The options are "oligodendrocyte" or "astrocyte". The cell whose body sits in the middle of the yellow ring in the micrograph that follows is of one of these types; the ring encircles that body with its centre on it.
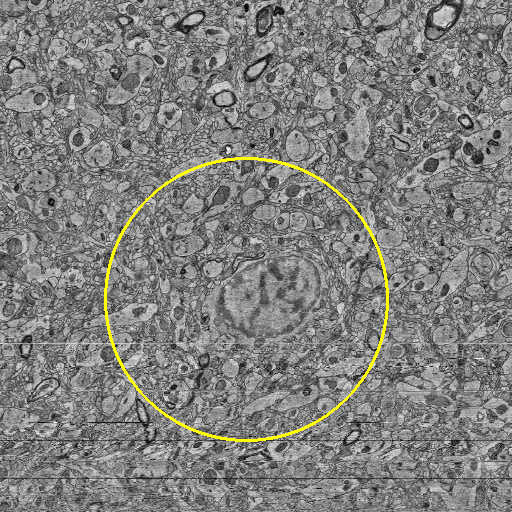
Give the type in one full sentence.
Going by the micrograph, the cell centred in the yellow ring is an oligodendrocyte.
